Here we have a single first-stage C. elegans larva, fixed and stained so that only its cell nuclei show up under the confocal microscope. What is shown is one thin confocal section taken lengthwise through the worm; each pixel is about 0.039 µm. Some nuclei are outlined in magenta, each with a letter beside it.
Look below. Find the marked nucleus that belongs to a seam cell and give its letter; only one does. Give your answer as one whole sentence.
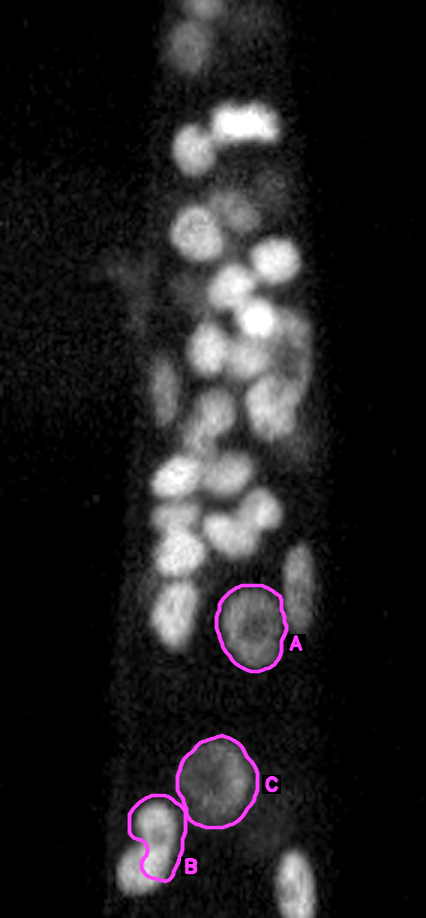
Nucleus C belongs to a seam cell.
